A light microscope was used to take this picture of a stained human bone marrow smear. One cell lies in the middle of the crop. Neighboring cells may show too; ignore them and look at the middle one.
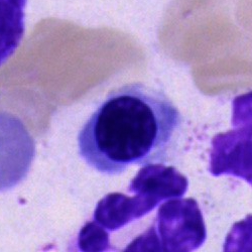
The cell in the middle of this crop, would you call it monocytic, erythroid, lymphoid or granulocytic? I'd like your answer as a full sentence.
The cell at the center belongs, by lineage, to the erythroid line.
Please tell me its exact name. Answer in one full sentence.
At the center of the crop sits an erythroblast.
